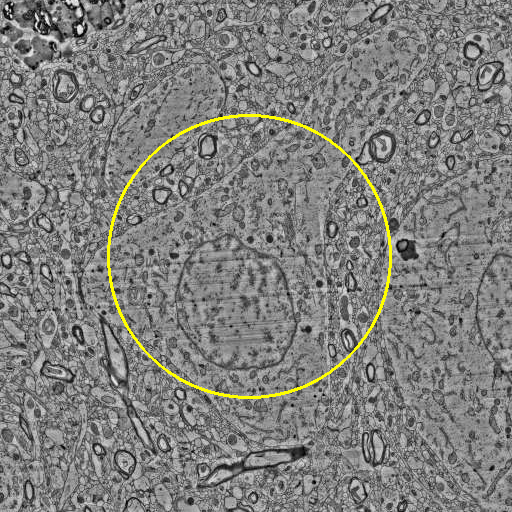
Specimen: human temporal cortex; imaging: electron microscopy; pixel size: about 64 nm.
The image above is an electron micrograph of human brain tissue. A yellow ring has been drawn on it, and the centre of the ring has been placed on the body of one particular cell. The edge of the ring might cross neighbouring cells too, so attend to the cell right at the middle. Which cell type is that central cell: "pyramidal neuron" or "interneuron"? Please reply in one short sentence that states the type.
The central cell in the ring is a pyramidal neuron.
